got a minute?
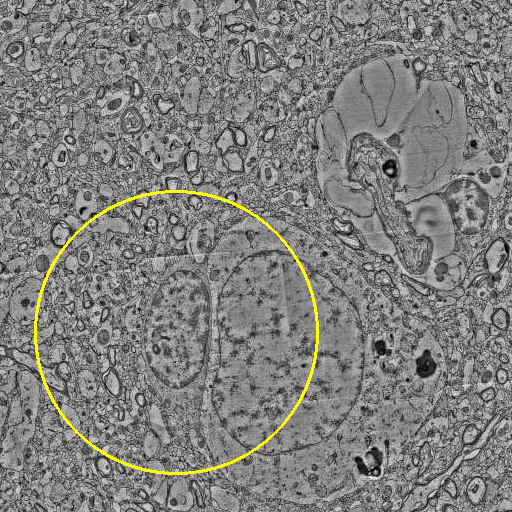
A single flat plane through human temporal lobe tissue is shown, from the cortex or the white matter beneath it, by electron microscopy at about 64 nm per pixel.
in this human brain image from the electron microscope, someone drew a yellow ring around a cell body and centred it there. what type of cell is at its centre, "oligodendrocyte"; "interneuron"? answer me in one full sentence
It's an oligodendrocyte at the middle of that yellow ring in the shot.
